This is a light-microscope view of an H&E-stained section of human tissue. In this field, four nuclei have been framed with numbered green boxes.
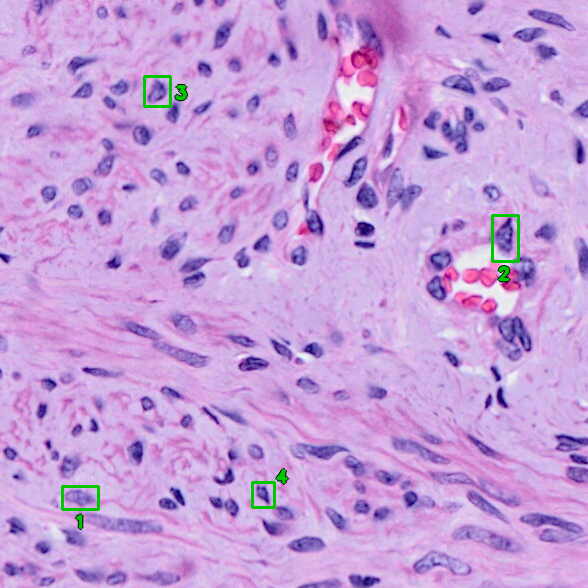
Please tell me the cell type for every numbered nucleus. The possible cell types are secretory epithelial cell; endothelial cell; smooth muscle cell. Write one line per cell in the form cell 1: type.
cell 1: smooth muscle cell
cell 2: endothelial cell
cell 3: smooth muscle cell
cell 4: smooth muscle cell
